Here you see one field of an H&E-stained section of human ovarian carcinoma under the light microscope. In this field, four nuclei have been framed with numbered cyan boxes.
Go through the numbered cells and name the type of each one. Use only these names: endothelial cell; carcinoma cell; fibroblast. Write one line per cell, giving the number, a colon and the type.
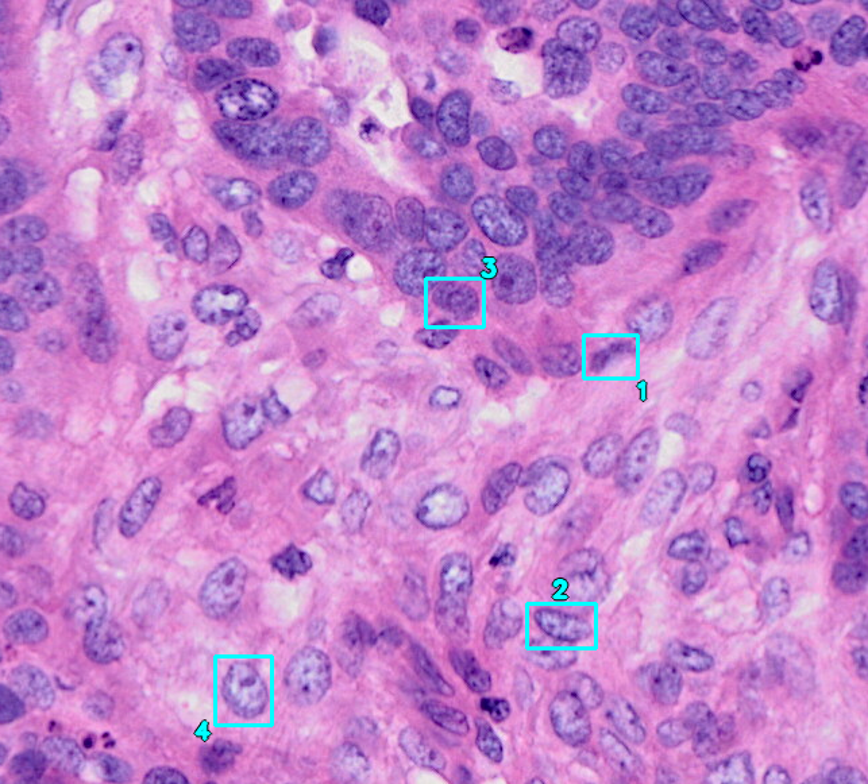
1: fibroblast
2: fibroblast
3: carcinoma cell
4: fibroblast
